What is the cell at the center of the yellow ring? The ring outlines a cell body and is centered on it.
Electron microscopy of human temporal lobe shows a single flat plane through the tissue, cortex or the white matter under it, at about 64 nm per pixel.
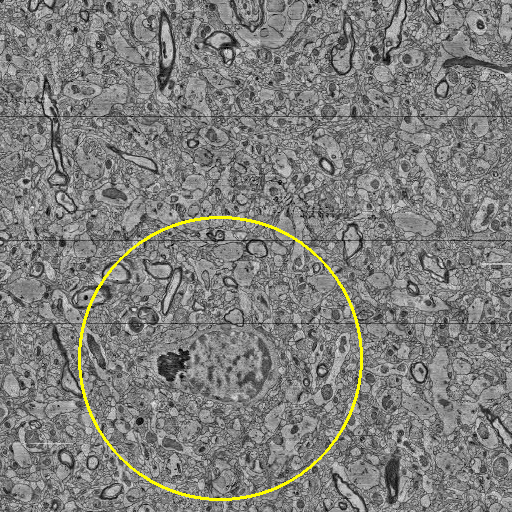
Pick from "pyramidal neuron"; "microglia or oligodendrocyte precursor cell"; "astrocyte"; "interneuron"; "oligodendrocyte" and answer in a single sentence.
The yellow ring is centered on an oligodendrocyte.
